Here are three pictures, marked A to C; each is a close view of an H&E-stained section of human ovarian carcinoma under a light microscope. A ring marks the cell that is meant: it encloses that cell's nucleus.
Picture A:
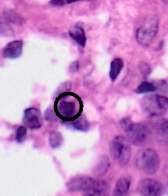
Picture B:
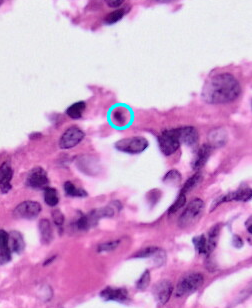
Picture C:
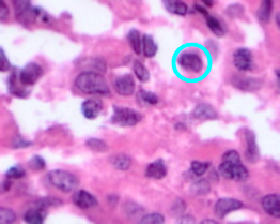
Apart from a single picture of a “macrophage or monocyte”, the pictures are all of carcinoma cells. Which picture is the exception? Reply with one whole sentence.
The “macrophage or monocyte” is the one in picture B.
